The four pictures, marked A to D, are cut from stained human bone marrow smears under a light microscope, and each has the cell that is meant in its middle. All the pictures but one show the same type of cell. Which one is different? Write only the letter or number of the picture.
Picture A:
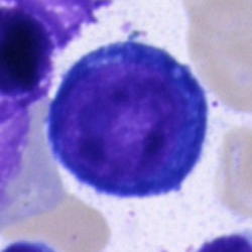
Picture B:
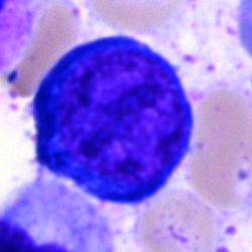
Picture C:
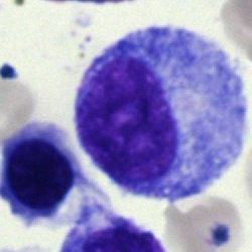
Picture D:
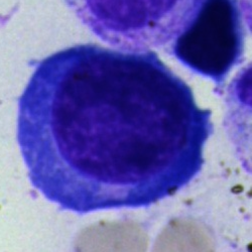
C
